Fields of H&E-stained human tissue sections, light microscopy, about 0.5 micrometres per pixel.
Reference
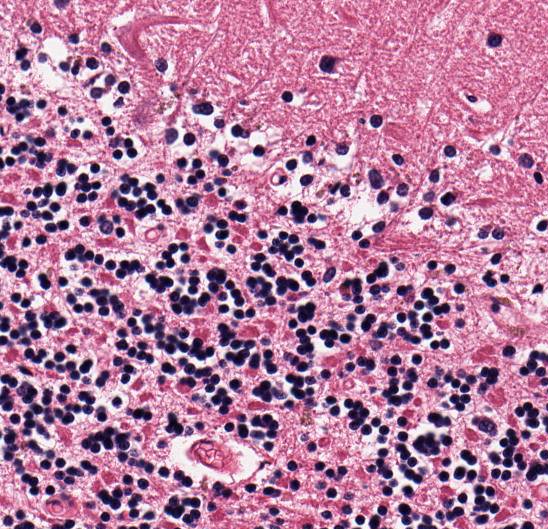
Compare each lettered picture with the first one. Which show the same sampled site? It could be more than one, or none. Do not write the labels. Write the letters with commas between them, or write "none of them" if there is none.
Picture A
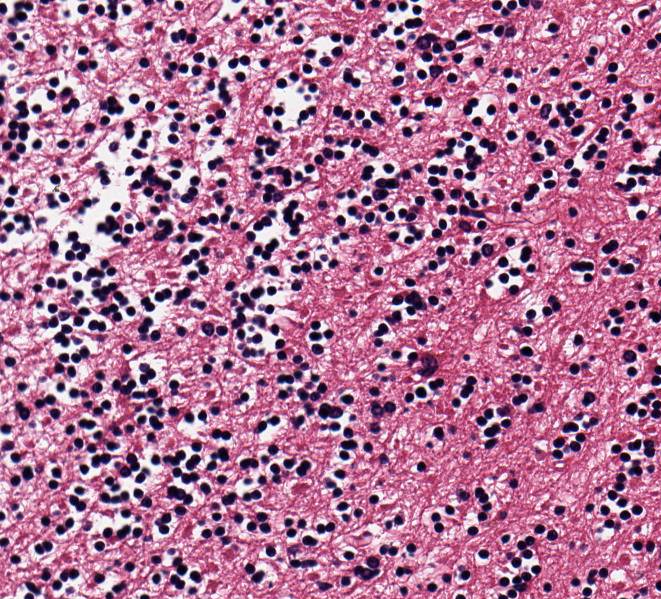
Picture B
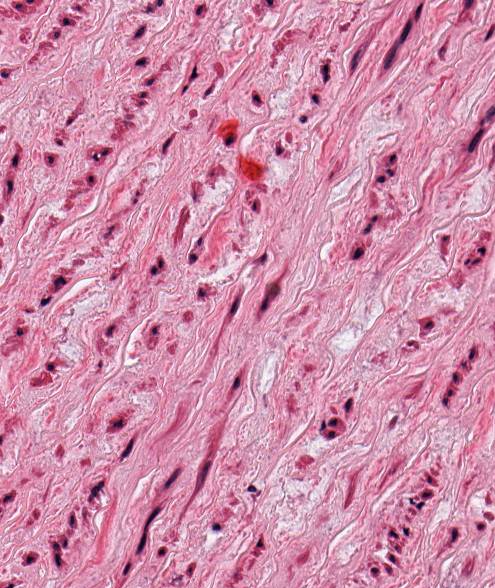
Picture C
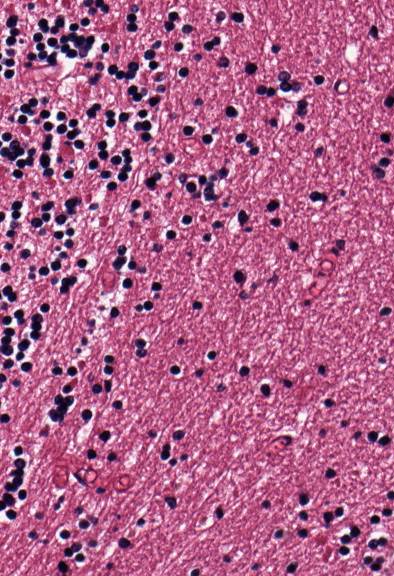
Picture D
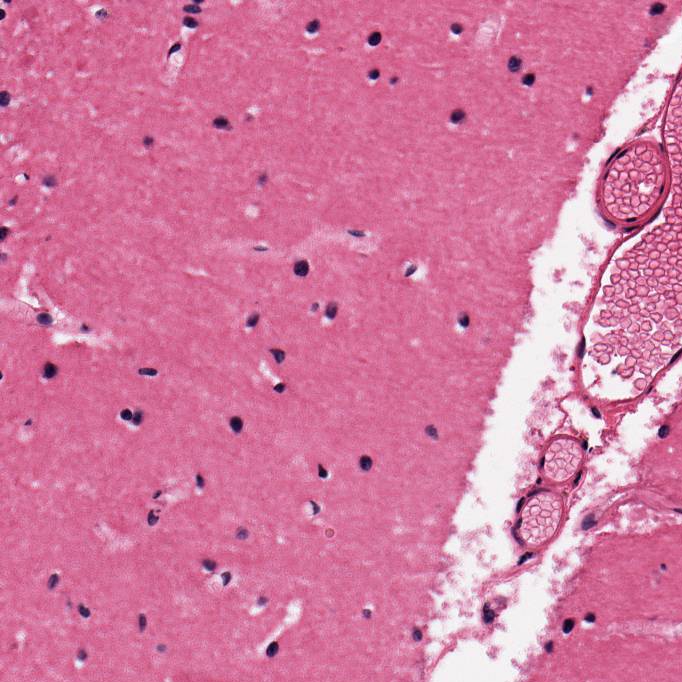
A, C, D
